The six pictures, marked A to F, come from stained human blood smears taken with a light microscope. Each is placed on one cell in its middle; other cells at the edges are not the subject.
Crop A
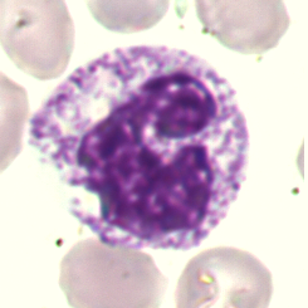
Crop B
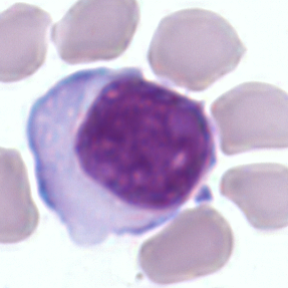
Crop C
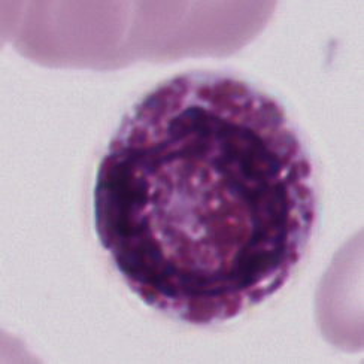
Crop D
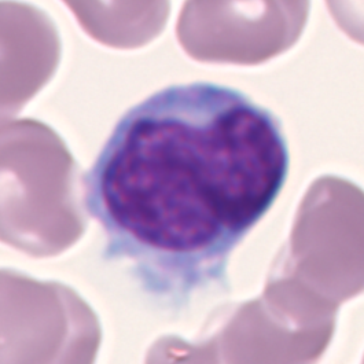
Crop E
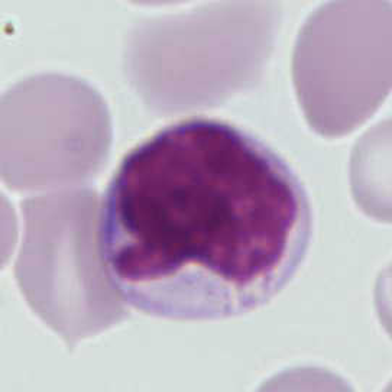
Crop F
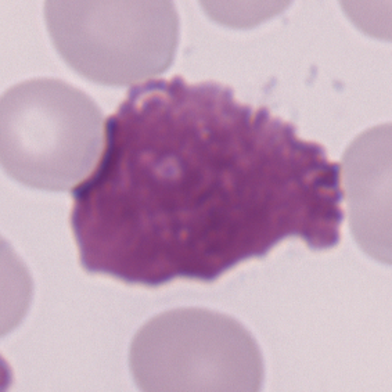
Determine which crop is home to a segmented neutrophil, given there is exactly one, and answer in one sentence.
Crop A is identified as the crop showing a segmented neutrophil.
